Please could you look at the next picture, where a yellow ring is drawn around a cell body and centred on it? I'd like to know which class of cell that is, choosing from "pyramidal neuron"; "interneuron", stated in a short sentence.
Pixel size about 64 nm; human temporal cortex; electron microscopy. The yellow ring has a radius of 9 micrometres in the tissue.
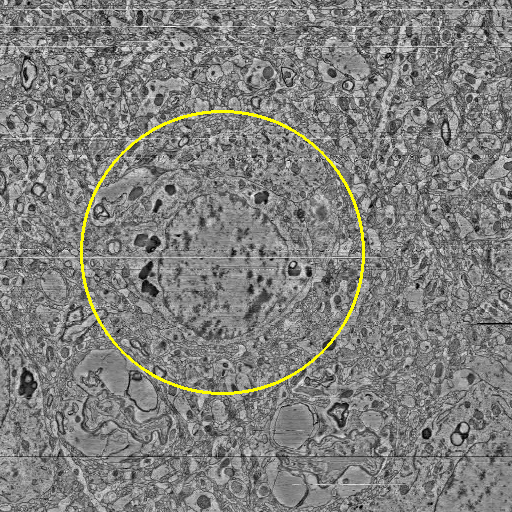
The ring's centre lies on an interneuron.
